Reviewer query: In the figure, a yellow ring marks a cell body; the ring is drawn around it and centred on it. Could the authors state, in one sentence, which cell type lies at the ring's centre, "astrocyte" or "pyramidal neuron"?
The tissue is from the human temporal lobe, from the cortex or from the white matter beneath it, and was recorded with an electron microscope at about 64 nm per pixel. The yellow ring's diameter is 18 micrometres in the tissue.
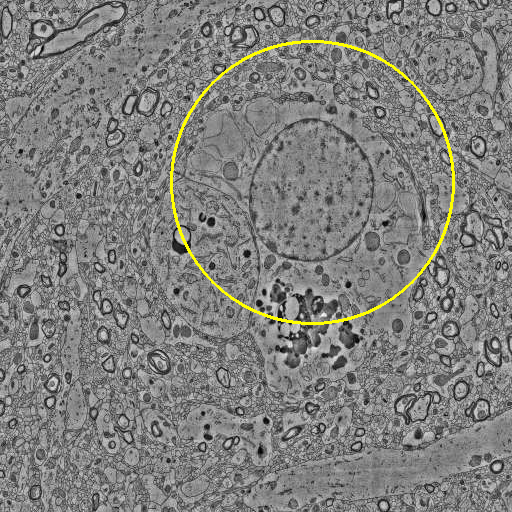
The ring is centred on an astrocyte.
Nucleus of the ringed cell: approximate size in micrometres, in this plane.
In this plane the nucleus measures roughly 8 micrometres across.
